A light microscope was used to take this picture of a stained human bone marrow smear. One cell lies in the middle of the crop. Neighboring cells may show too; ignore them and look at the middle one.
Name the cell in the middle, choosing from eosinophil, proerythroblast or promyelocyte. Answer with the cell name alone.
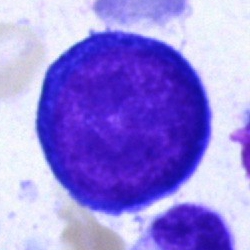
proerythroblast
